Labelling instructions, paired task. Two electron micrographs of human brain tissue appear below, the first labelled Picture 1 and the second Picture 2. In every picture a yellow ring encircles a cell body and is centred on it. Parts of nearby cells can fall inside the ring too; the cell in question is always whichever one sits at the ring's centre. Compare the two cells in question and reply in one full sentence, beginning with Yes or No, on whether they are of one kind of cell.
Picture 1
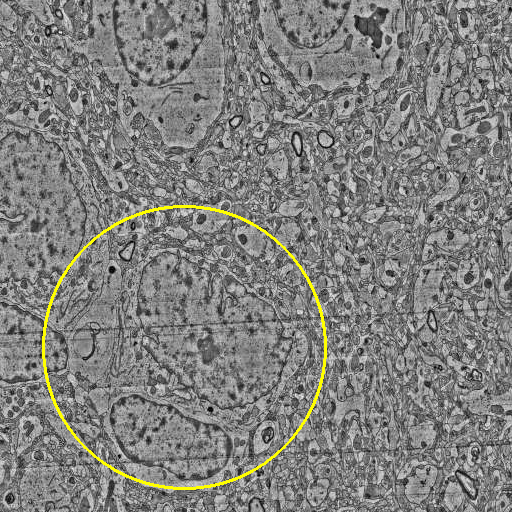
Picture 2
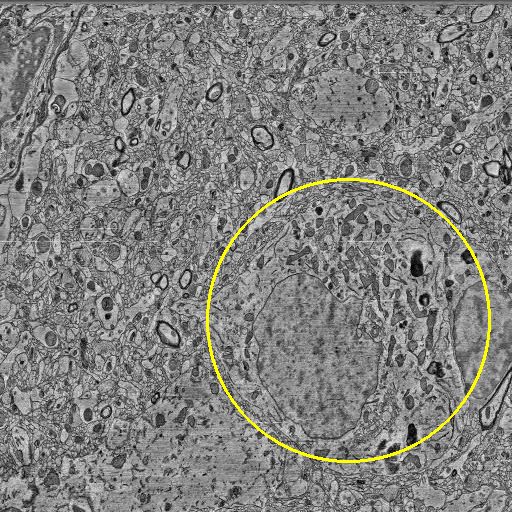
Yes, the two cells at the ring centres in Picture 1 and Picture 2 are of one kind.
